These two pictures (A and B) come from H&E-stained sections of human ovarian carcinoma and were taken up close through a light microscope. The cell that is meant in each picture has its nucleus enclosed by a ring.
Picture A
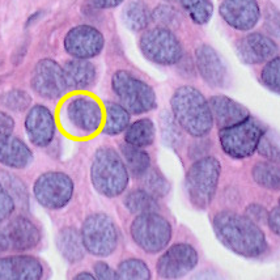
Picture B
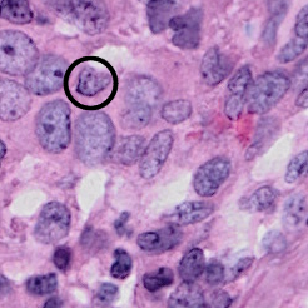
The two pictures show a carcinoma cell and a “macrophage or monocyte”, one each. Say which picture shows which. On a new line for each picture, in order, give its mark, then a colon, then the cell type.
A: carcinoma cell
B: macrophage or monocyte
